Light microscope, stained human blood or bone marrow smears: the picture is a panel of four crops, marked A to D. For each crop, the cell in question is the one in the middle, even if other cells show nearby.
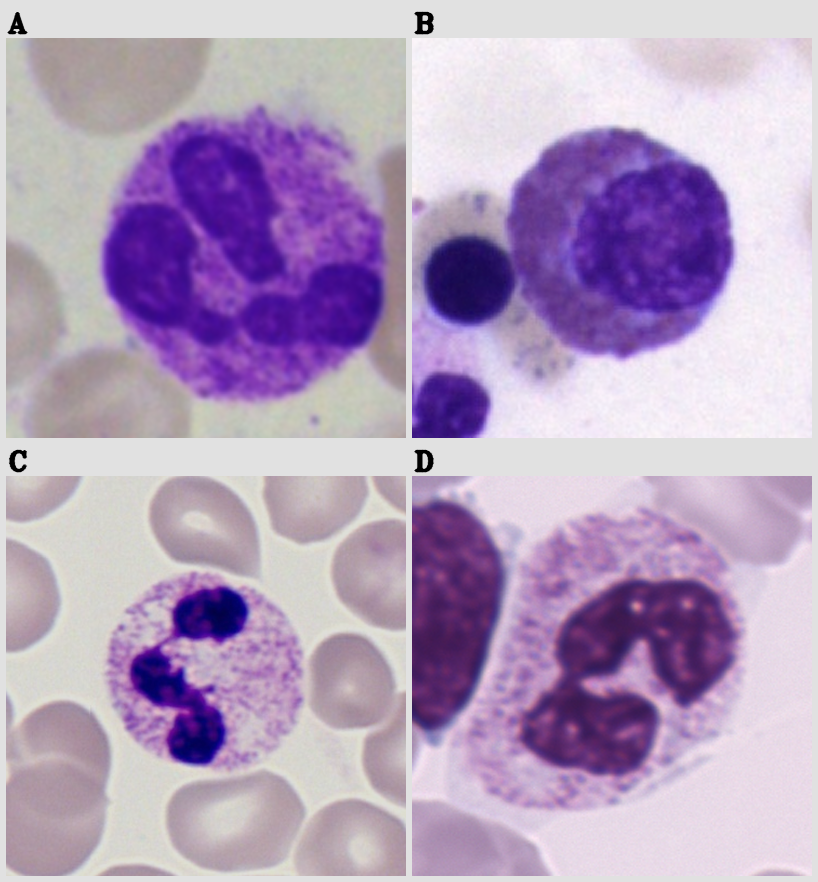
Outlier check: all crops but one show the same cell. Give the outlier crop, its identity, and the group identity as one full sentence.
Unlike the other crops, all showing neutrophils, crop B is an eosinophil.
